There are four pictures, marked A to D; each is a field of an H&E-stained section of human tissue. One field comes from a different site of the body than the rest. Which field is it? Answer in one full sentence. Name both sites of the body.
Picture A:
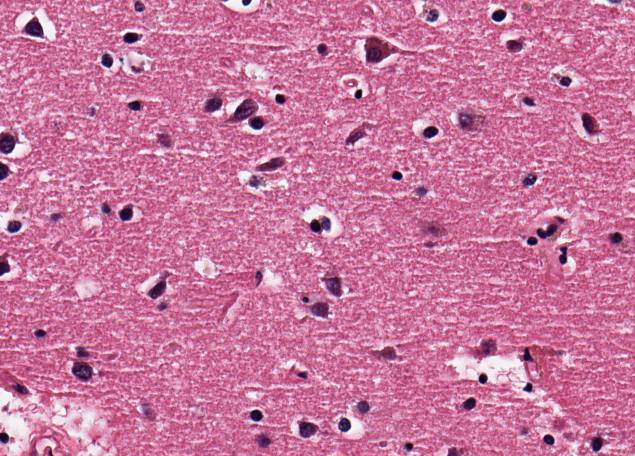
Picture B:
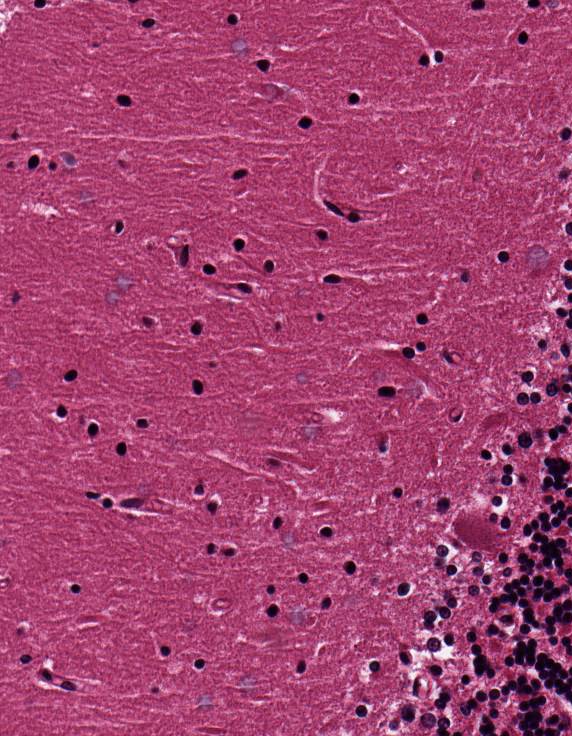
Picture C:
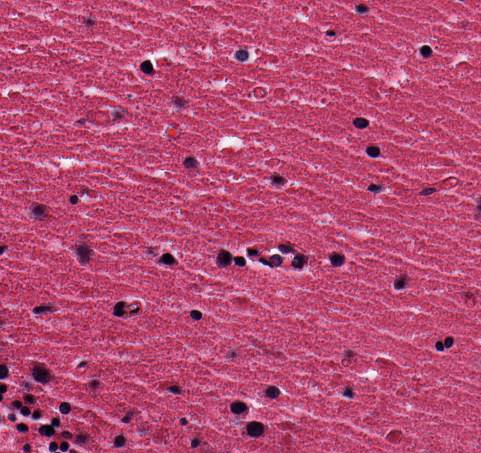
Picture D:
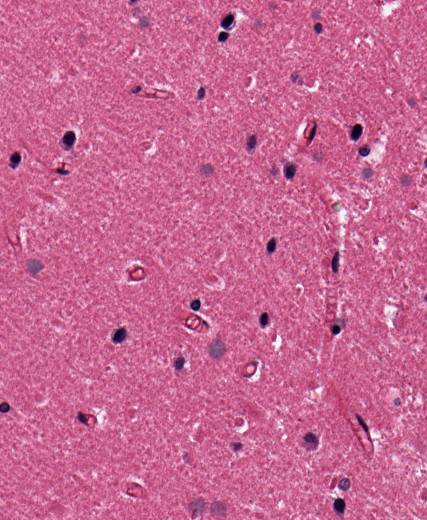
All pictures except A come from the cerebellum; picture A comes from the cerebral cortex.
